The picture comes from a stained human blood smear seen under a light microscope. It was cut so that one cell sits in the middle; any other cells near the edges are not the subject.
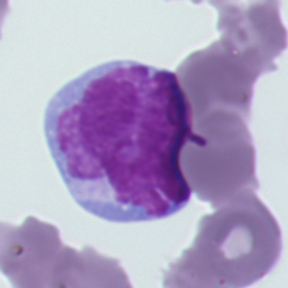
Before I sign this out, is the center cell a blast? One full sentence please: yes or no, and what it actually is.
Yes, the cell sitting in the middle of this smear crop is a blast.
